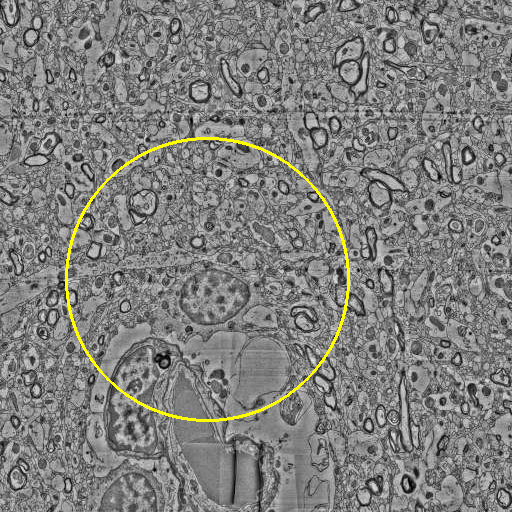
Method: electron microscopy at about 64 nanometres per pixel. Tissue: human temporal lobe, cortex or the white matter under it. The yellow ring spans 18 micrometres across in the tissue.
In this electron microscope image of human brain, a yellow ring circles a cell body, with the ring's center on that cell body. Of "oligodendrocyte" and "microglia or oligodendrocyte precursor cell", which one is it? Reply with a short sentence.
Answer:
It is an oligodendrocyte at the center of the ring.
